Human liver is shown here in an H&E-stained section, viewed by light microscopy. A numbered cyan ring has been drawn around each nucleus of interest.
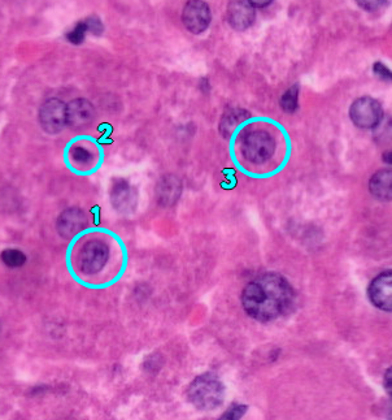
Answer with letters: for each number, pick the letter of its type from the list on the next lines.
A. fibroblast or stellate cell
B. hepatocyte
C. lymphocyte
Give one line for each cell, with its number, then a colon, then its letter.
1: B
2: C
3: B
